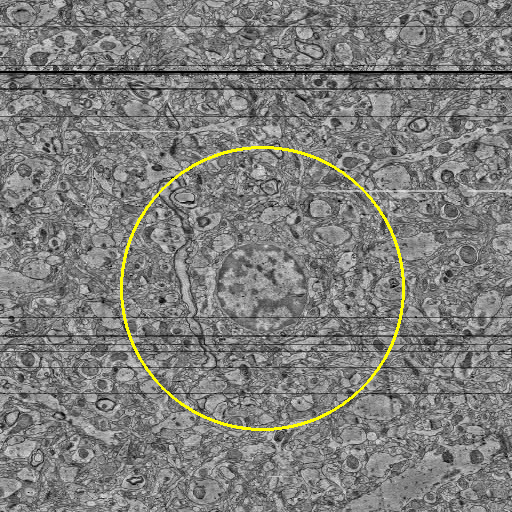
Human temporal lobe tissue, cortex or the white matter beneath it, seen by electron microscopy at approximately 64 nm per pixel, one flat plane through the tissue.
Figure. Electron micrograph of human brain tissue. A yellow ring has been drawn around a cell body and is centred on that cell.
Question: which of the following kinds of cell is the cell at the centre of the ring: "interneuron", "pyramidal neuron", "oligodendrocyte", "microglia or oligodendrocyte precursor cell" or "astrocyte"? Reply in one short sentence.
The cell at the centre of the ring is an oligodendrocyte.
